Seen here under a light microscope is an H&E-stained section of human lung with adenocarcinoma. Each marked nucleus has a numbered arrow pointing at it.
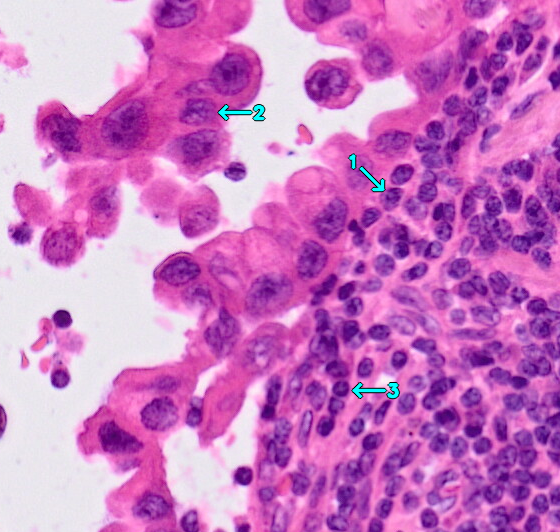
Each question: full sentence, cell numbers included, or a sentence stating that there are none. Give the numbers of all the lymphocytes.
The cells bearing the numbers 1 and 3 are lymphocytes.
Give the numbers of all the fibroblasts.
None of the cells bearing numbers are fibroblasts.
